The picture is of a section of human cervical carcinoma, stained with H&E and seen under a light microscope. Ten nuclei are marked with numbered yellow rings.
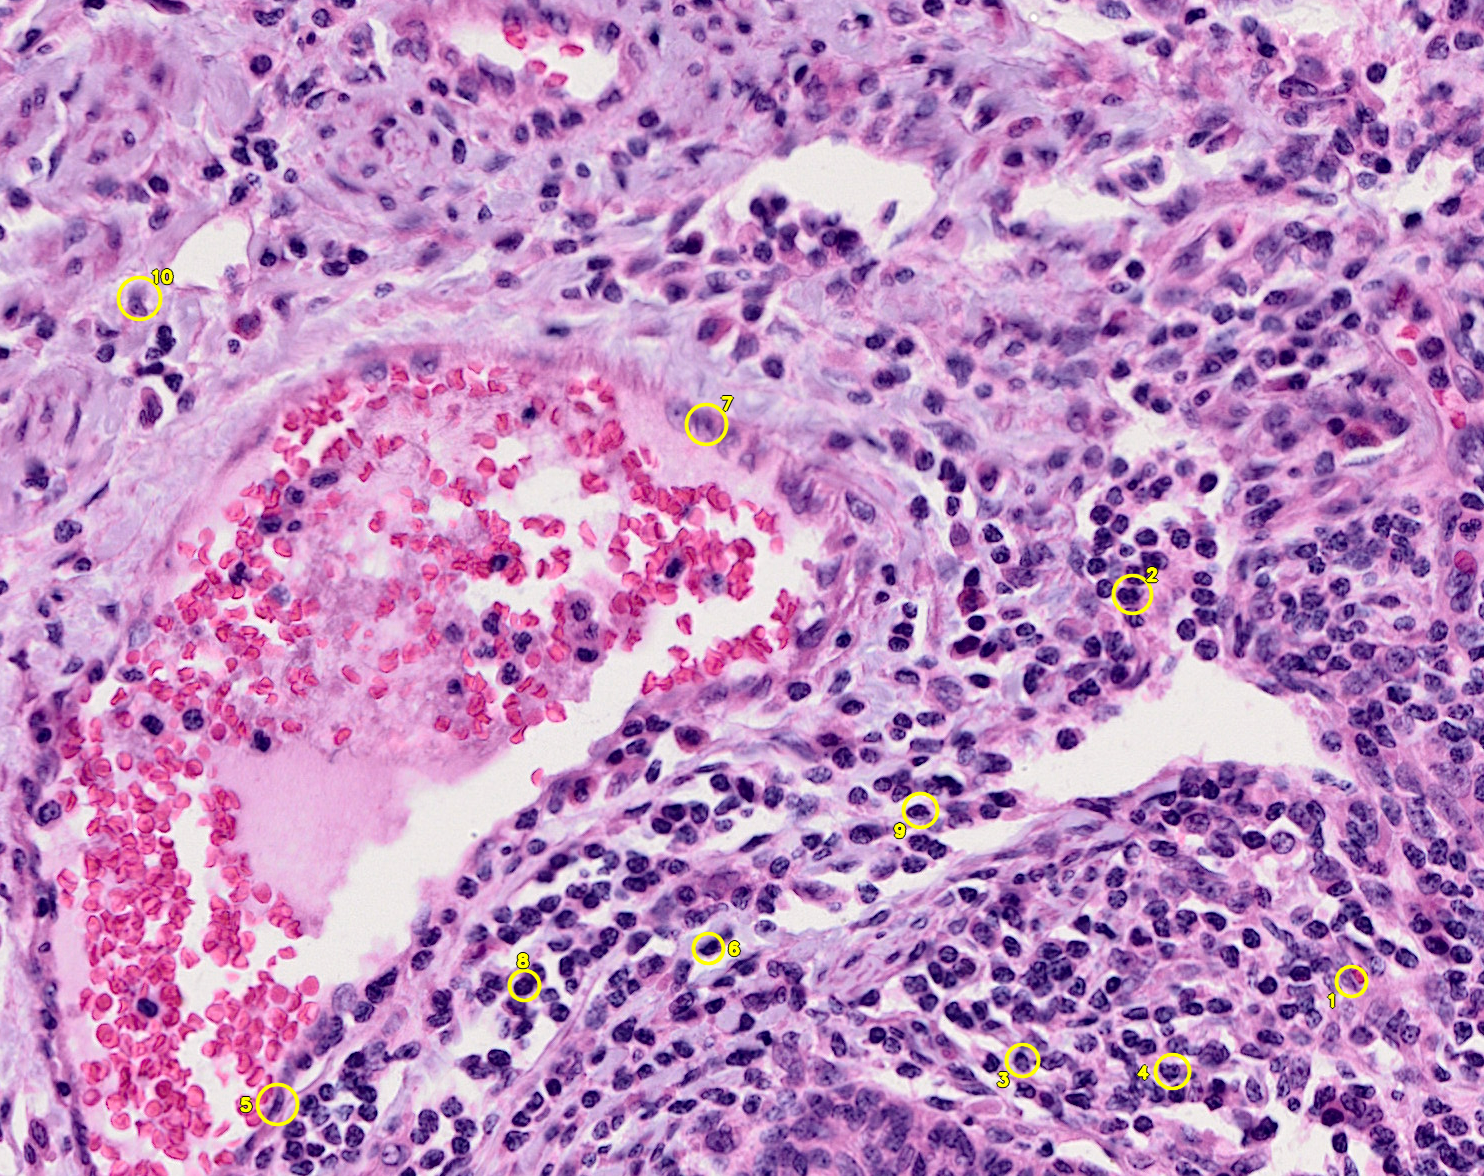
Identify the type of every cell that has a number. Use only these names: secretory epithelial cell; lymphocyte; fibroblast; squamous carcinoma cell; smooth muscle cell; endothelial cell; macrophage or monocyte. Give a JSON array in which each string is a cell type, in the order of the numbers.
["endothelial cell", "lymphocyte", "lymphocyte", "lymphocyte", "endothelial cell", "lymphocyte", "endothelial cell", "lymphocyte", "lymphocyte", "macrophage or monocyte"]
